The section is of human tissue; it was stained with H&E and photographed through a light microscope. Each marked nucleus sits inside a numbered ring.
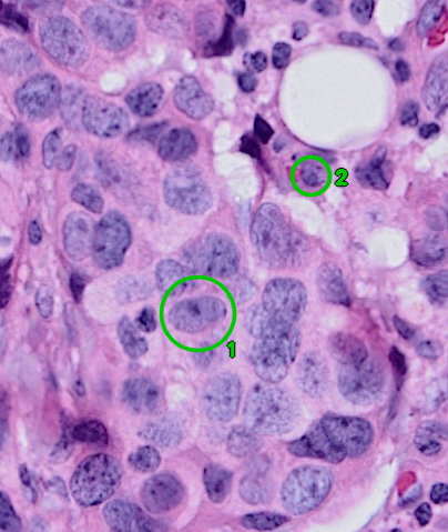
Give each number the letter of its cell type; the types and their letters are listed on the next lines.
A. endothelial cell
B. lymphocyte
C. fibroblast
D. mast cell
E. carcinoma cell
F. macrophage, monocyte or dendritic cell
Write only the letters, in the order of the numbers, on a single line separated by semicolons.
E; A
